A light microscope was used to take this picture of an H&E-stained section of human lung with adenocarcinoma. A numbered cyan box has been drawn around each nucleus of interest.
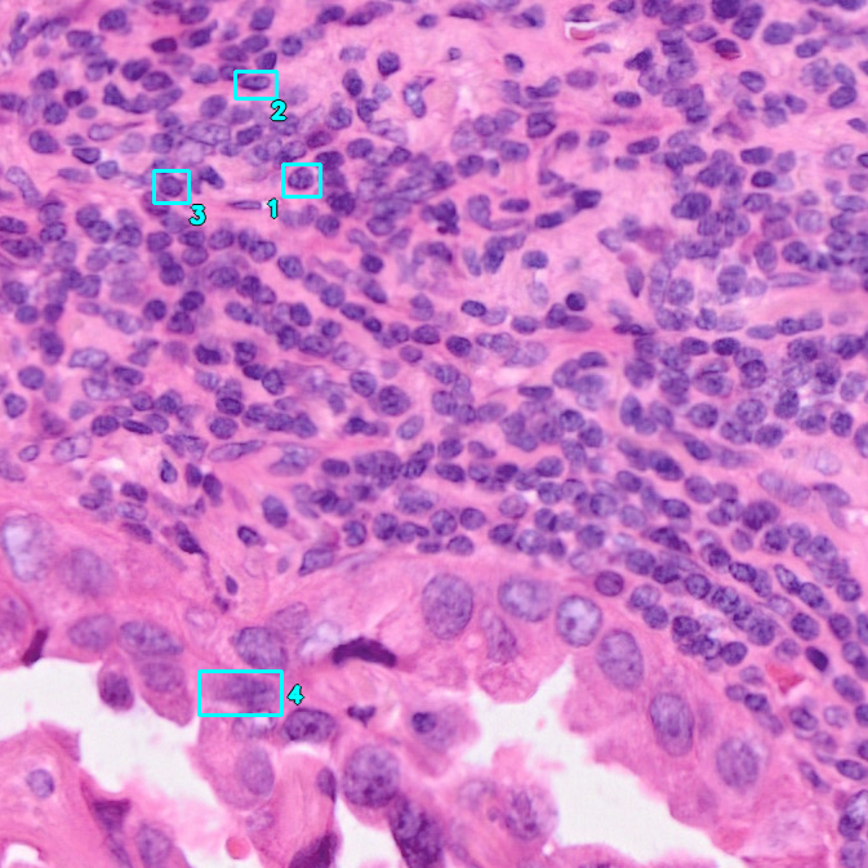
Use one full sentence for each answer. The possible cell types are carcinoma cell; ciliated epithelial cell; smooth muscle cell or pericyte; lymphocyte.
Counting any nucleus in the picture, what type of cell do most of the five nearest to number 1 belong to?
The majority of the five nuclei closest to number 1 belong to lymphocytes.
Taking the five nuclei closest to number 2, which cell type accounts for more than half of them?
Around number 2, most of the five nearest nuclei are those of lymphocytes.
